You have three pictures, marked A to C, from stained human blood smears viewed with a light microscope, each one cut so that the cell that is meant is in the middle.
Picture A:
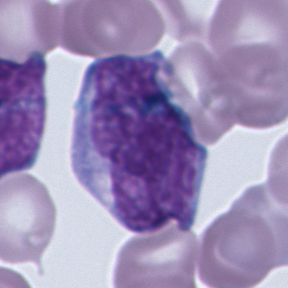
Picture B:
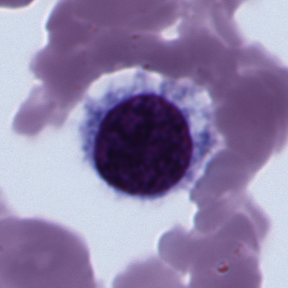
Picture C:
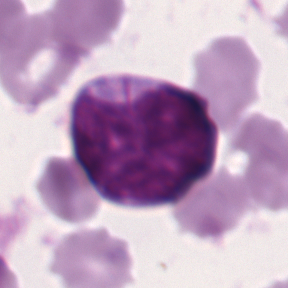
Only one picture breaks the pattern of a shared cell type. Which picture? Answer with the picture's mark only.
B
